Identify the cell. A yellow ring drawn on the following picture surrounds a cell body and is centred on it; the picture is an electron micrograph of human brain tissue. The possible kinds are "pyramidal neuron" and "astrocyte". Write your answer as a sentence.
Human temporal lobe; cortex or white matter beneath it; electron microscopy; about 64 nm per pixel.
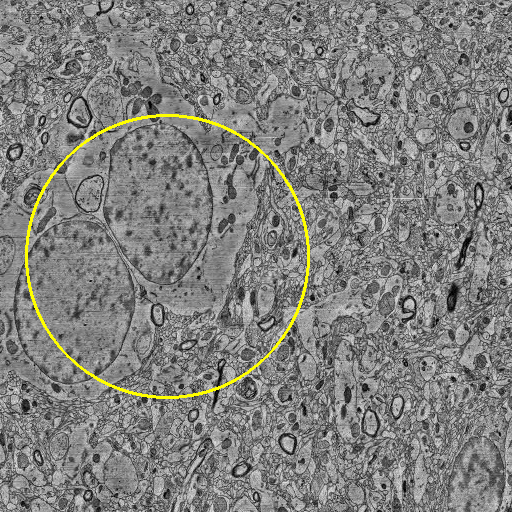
The cell identified by the ring is an astrocyte.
